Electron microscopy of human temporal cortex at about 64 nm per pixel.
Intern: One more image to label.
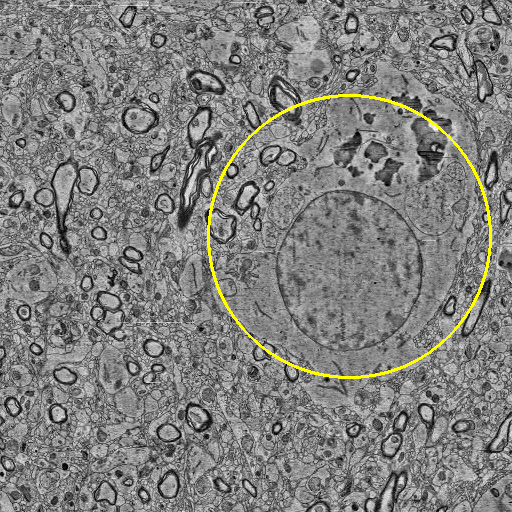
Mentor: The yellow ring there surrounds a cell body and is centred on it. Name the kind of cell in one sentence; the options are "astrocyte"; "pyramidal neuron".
The ring marks the cell body of an astrocyte.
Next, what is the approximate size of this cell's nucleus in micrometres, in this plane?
Approximately 10 micrometers across in this plane.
